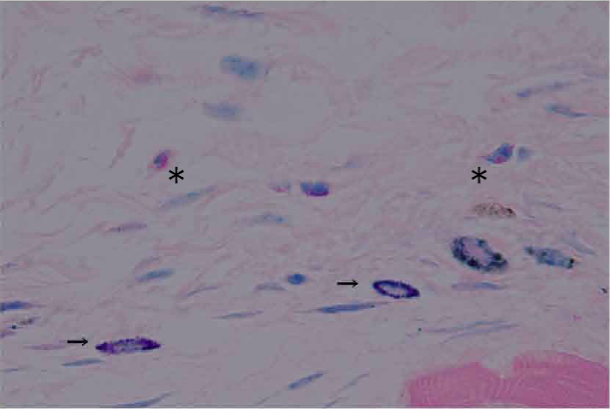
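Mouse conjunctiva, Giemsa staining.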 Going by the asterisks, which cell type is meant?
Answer: eosinophils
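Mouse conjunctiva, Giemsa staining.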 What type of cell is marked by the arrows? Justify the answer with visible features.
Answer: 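The marked cells are elongated and filled with dark purple granules. They lie among spindle-shaped cells in pale pink connective tissue.
Hence: mast cells.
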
